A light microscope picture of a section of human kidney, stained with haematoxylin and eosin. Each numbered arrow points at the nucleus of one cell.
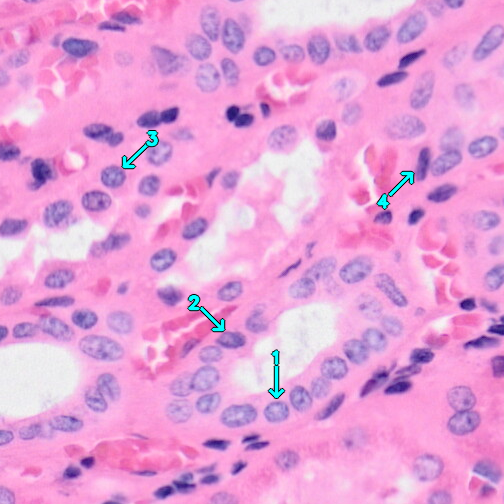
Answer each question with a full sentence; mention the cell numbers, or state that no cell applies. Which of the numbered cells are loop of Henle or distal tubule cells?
Of all the cells bearing numbers, cell 3 is the only one that is a loop of Henle or distal tubule cell.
